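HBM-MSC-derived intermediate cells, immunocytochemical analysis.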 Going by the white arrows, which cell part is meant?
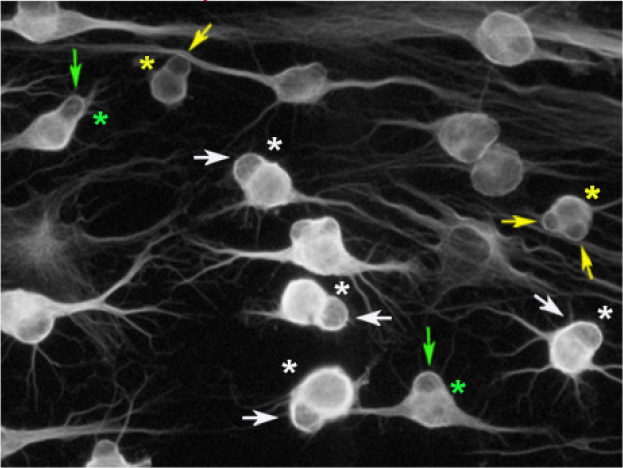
Cell protrusion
